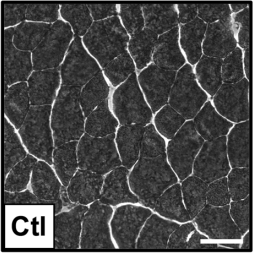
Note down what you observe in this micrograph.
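This is skeletal muscle cut in cross-section, showing many myofibers packed side by side. The fibers have polygonal, somewhat angular outlines and are of broadly similar size. Each fiber is bounded by a thin bright line, and the bright lines are wider where several fibers meet. The fiber interiors are dark and finely granular. There is little tissue between the fibers.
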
